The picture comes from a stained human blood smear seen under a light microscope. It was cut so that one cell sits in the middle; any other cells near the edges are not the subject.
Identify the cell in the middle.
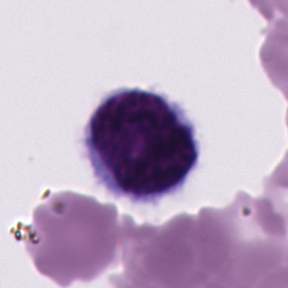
hairy cell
